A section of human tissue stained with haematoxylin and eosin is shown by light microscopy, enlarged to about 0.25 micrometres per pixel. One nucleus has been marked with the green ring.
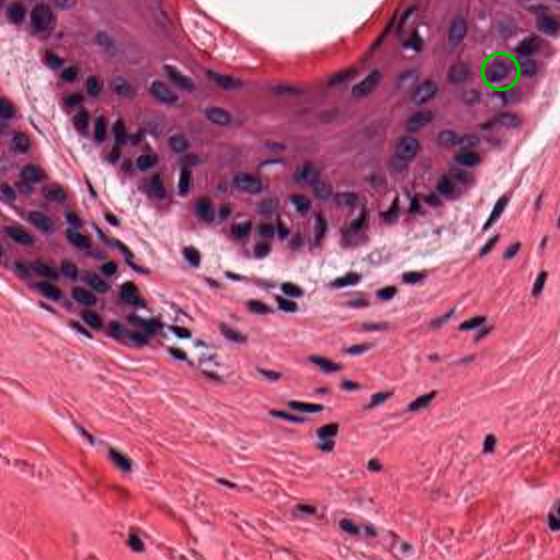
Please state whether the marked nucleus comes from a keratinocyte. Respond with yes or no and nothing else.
yes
